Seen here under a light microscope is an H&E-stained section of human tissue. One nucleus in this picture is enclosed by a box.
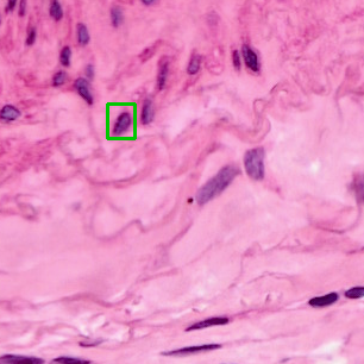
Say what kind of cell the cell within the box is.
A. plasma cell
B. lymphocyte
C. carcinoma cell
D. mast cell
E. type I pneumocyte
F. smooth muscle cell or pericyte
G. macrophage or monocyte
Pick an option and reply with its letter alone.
F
